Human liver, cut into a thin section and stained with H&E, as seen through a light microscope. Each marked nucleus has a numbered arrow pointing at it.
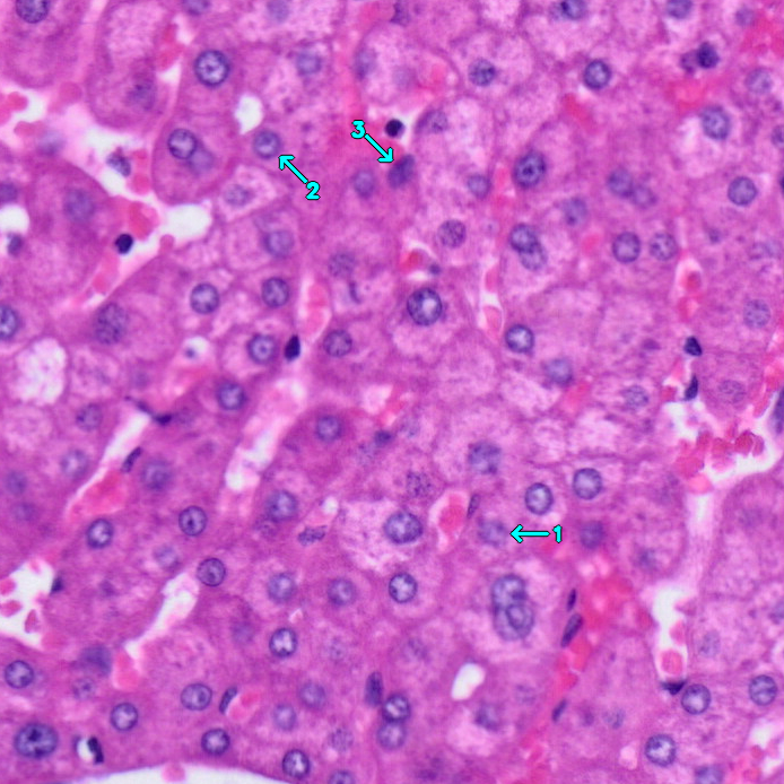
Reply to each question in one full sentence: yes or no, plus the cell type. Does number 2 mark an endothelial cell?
No, the cell tagged 2 is a hepatocyte, and not an endothelial cell.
